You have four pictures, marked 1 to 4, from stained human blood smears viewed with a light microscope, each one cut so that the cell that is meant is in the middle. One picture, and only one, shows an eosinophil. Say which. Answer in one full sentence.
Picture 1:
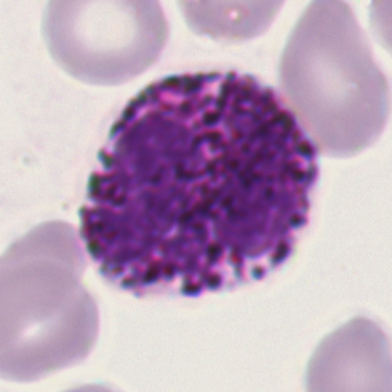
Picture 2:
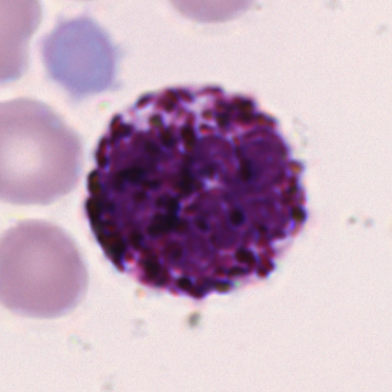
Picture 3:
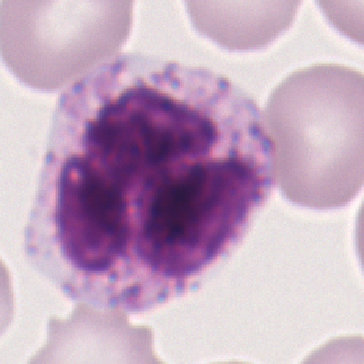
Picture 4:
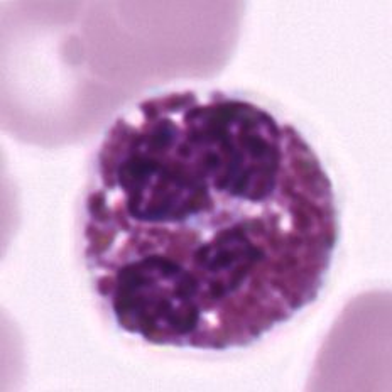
The cell in picture 4 is the eosinophil.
